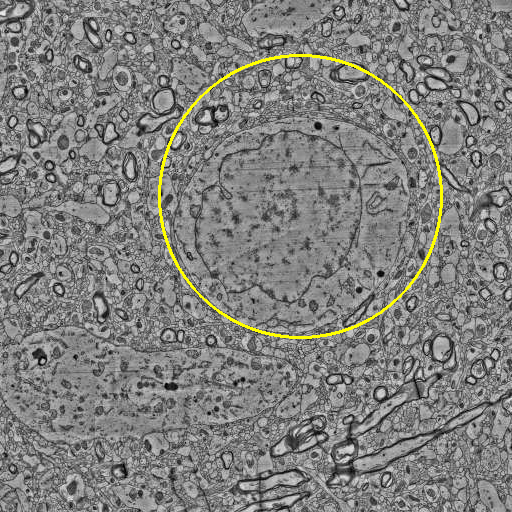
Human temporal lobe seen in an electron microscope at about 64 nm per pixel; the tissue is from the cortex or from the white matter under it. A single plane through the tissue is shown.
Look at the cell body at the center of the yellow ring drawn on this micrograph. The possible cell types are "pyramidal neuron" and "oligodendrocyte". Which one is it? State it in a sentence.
The cell in the middle of the ring is a pyramidal neuron.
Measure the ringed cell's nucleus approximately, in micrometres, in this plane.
Approximately 11 micrometers across in this plane.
